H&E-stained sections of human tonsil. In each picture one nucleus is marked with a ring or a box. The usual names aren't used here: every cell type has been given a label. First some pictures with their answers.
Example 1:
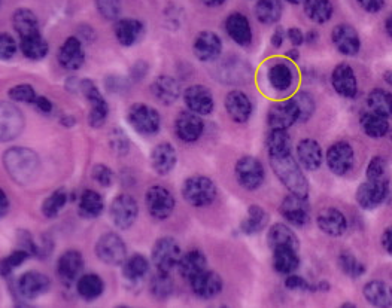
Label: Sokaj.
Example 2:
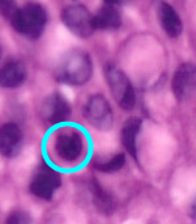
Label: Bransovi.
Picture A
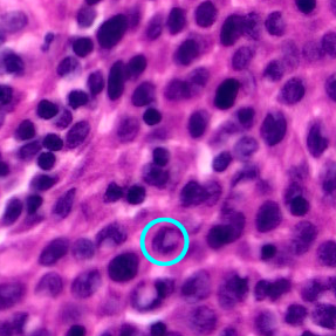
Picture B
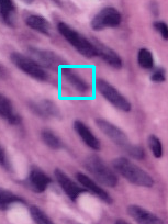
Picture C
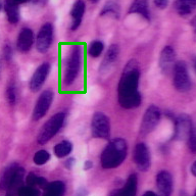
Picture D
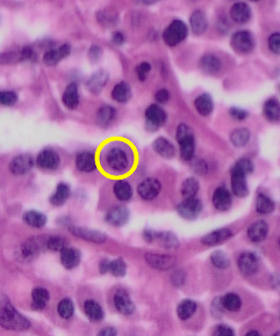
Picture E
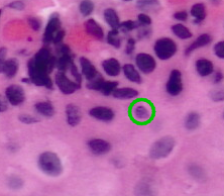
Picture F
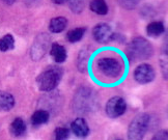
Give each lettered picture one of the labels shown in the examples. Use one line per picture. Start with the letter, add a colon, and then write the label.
A: Bransovi.
B: Bransovi.
C: Bransovi.
D: Sokaj.
E: Bransovi.
F: Sokaj.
